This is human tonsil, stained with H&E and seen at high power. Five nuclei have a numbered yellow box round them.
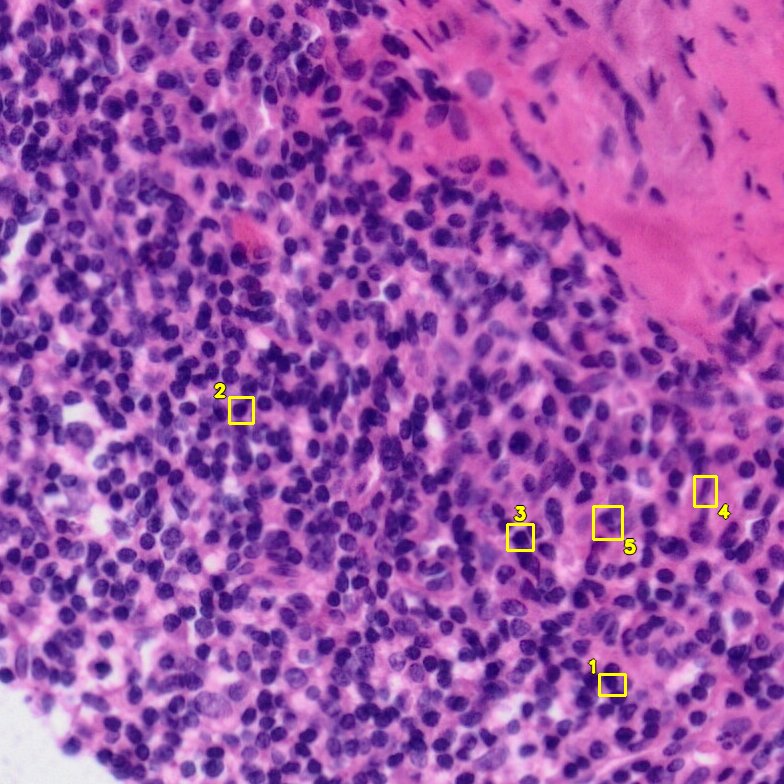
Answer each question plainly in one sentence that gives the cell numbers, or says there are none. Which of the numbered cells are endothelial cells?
Here, the cells that carry numbers 4 and 5 are endothelial cells.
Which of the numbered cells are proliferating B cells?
The marked and numbered cells comprise no proliferating B cells.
